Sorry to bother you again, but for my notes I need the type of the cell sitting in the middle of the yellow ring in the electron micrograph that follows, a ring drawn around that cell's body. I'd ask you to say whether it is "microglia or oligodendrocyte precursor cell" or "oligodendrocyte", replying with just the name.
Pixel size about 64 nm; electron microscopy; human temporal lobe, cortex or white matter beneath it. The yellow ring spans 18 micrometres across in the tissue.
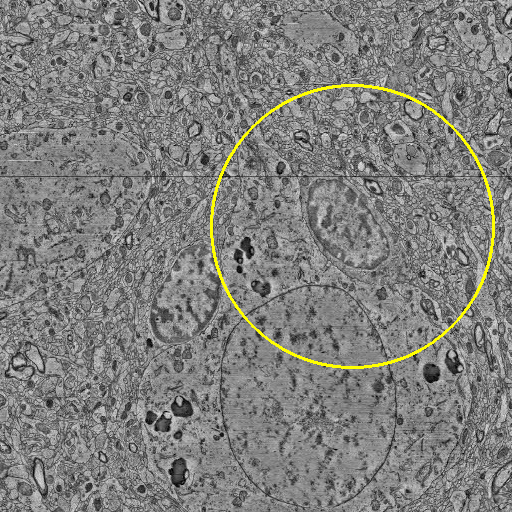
oligodendrocyte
